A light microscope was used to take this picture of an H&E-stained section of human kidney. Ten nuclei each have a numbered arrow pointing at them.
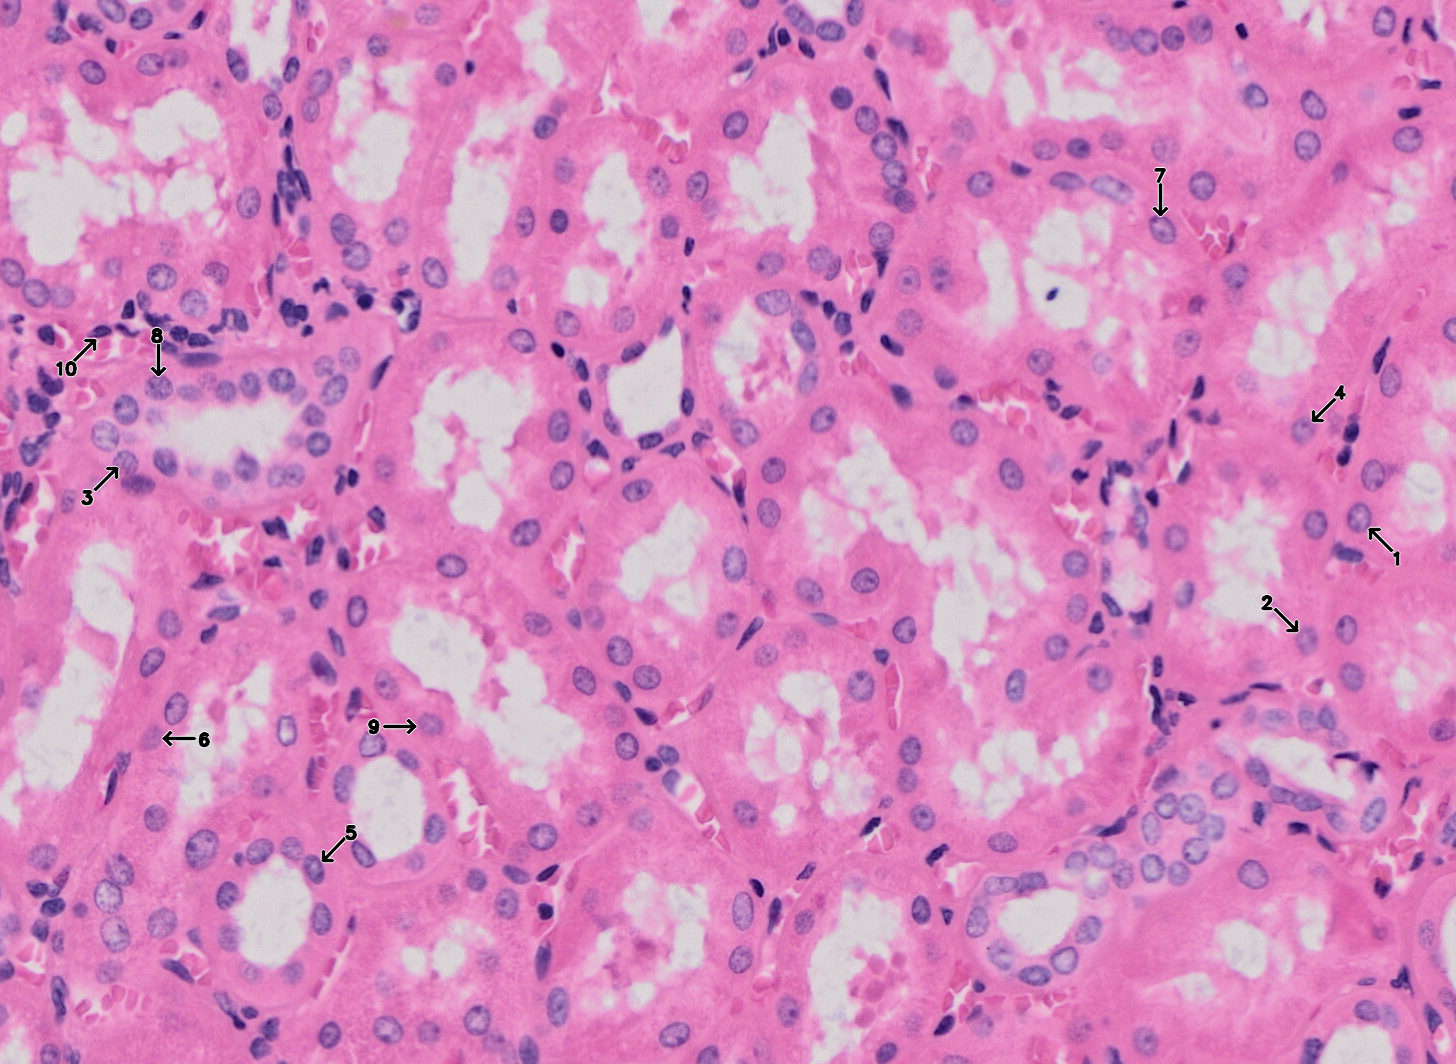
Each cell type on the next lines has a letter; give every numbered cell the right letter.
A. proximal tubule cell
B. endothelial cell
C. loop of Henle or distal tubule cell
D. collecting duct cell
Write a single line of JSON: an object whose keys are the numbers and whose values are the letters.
{"1": "A", "2": "A", "3": "D", "4": "A", "5": "C", "6": "A", "7": "A", "8": "D", "9": "A", "10": "B"}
